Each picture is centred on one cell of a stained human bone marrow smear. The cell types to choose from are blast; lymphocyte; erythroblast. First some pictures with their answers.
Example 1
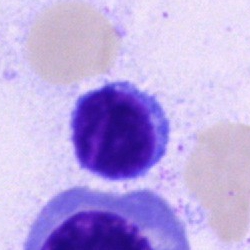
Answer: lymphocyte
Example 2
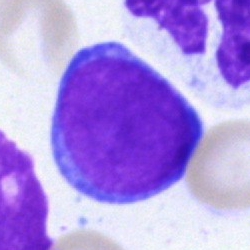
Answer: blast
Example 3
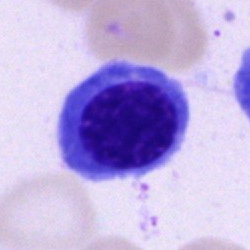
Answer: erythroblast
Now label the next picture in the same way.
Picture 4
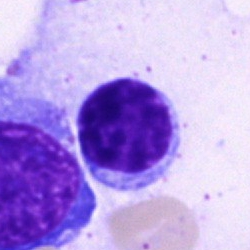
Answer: lymphocyte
